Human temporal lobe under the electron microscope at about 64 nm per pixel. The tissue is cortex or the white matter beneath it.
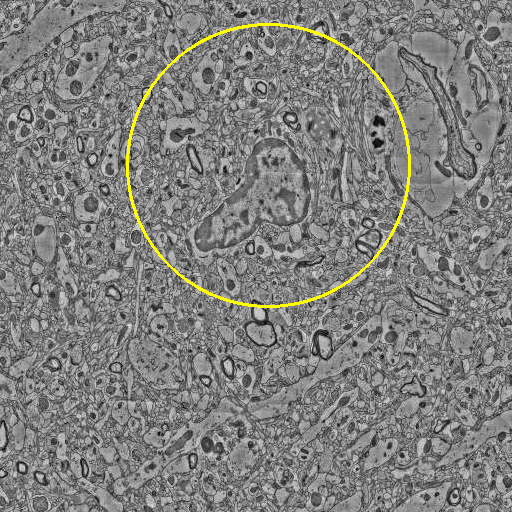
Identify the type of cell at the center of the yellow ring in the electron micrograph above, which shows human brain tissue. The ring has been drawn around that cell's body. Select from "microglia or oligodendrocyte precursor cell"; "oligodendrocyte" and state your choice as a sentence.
The yellow ring is centered on the body of a microglial cell or oligodendrocyte precursor cell.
